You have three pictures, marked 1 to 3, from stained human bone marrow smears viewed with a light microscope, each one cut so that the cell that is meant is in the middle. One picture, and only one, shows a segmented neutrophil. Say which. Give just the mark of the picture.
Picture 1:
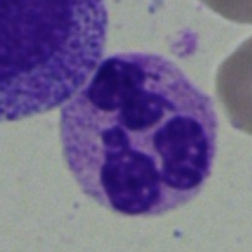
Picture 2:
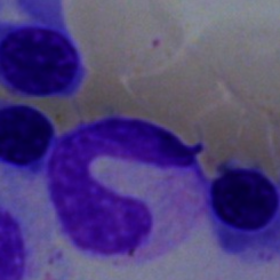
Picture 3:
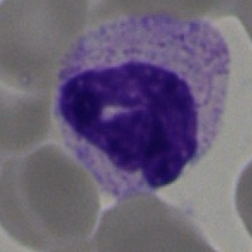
1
